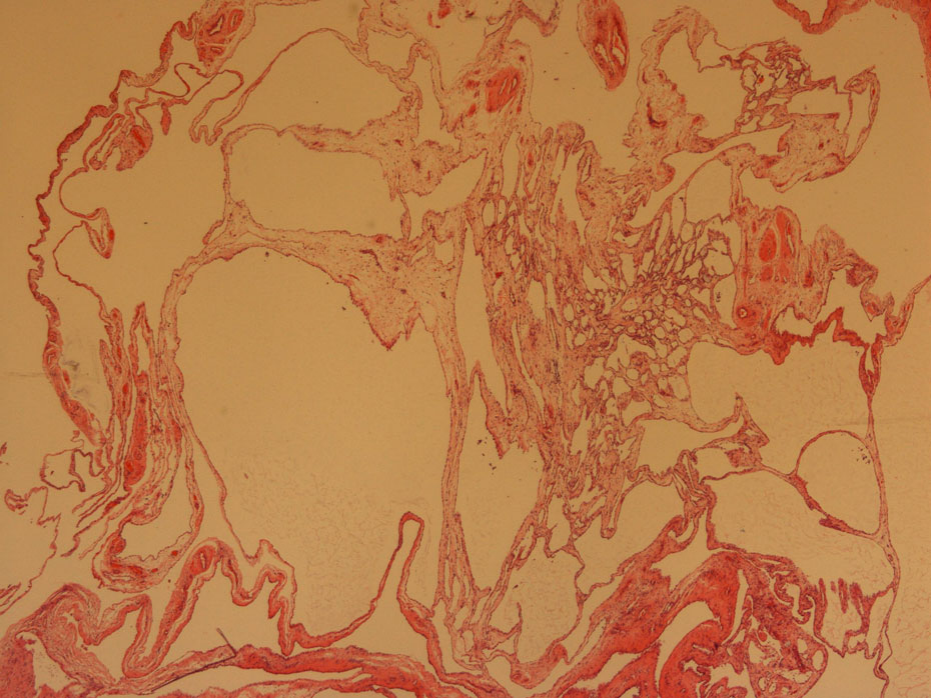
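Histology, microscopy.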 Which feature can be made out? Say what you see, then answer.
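Many empty, rounded to irregular spaces of widely varying size fill the field. The spaces are separated by thin pink septa. The spaces contain no cells or solid tissue.
Conclusion: cysts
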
